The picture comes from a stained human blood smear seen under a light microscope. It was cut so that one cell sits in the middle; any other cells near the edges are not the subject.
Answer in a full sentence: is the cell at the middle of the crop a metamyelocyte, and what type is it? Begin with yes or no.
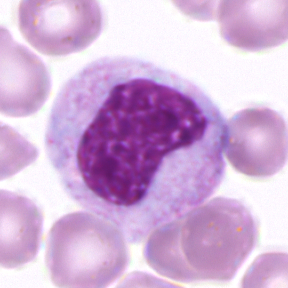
Yes, the middle cell in this crop is a metamyelocyte.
